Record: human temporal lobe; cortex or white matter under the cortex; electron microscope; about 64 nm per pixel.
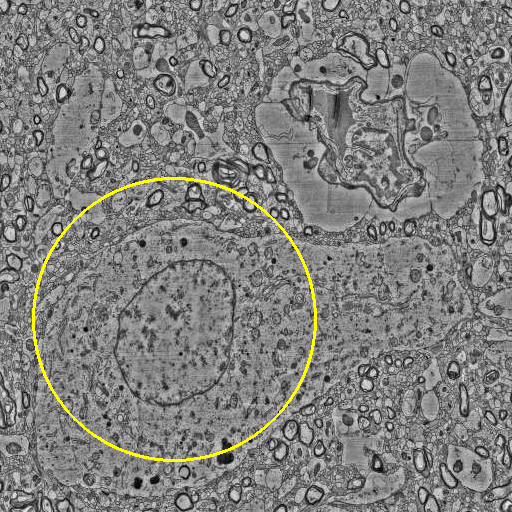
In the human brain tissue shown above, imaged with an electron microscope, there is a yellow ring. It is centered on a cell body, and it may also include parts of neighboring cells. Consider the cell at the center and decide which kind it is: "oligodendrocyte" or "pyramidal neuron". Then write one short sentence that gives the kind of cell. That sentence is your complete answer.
This centered cell body is that of a pyramidal neuron.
